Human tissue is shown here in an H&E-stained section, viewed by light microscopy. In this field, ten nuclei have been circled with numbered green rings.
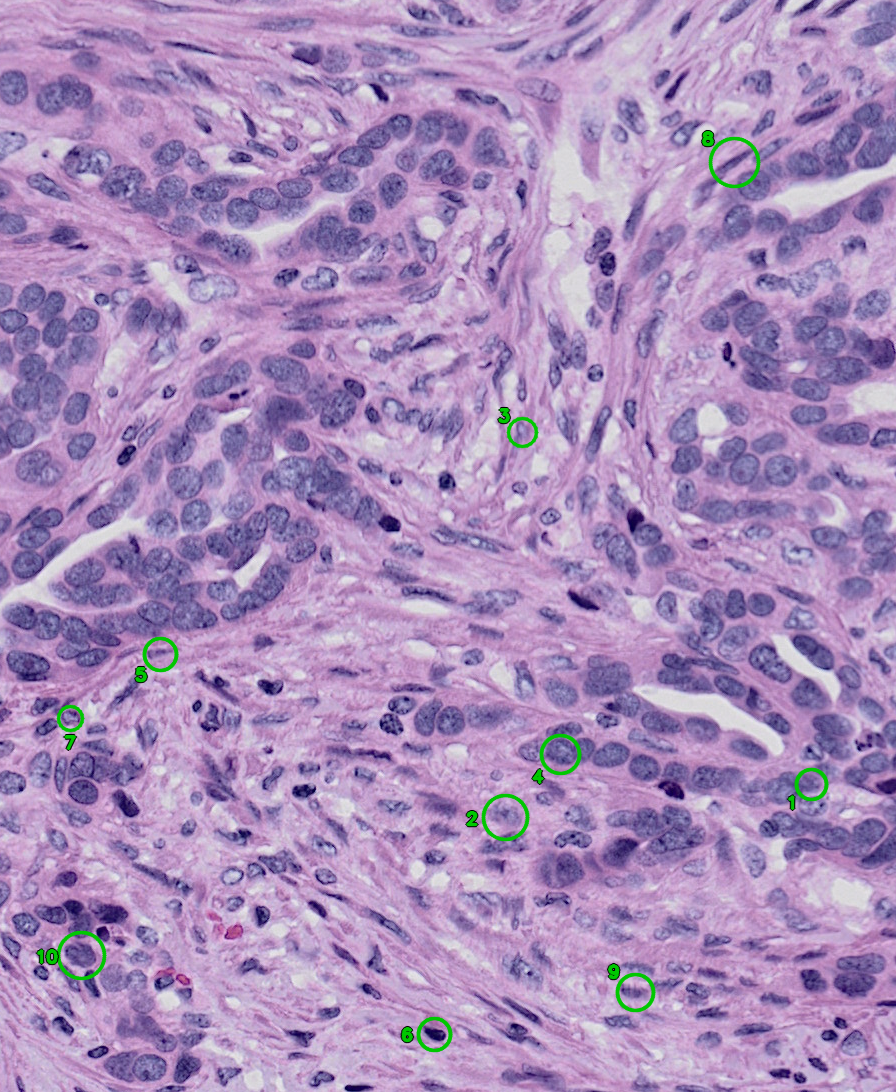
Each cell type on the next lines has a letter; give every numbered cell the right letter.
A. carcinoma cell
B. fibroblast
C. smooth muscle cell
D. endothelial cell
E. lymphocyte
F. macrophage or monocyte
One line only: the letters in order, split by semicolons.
A; B; B; A; B; E; B; B; B; A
